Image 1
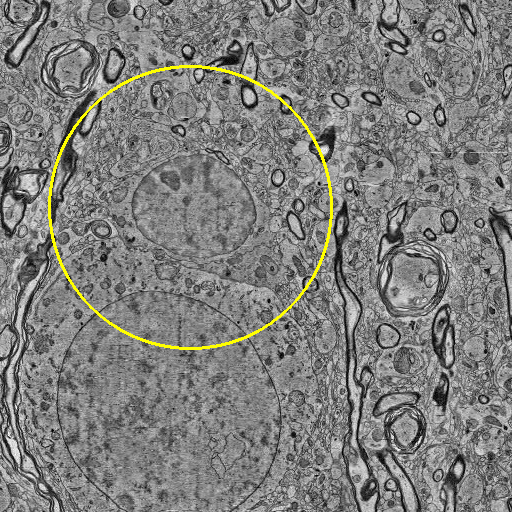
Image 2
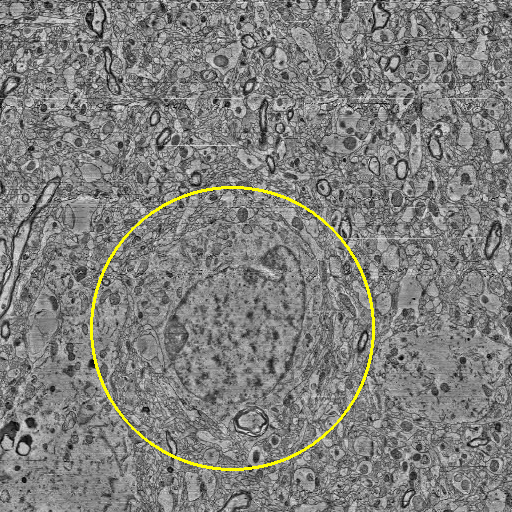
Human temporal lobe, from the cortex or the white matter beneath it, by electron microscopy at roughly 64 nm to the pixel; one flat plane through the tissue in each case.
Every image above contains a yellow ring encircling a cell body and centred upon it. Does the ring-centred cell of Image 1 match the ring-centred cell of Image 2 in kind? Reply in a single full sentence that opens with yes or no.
No, the cell at the ring's centre in Image 1 is a separate kind from that in Image 2.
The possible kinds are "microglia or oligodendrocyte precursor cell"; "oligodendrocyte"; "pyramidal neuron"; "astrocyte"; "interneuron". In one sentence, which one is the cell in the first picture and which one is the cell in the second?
The cell ringed in the second picture is an interneuron, whereas the one ringed in the first is an oligodendrocyte.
